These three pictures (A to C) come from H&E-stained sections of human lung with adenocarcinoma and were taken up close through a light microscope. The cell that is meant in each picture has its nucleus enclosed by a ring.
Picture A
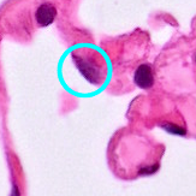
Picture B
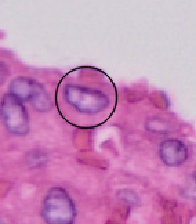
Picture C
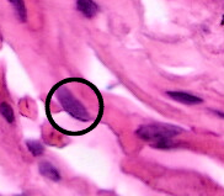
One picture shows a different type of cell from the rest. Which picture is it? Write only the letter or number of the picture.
B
